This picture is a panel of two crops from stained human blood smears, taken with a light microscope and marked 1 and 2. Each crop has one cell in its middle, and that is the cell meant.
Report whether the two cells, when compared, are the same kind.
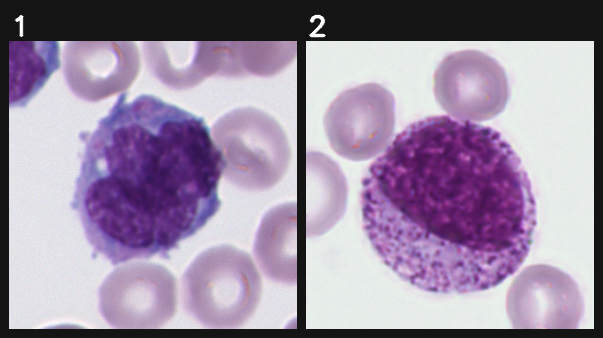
no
